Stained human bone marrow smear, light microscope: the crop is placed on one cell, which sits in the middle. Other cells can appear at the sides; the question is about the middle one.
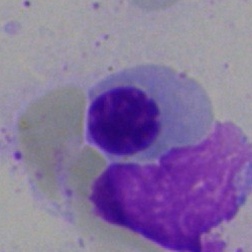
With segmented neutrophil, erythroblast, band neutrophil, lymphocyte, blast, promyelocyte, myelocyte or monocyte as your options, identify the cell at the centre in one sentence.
In this smear crop, the middle cell is an erythroblast.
